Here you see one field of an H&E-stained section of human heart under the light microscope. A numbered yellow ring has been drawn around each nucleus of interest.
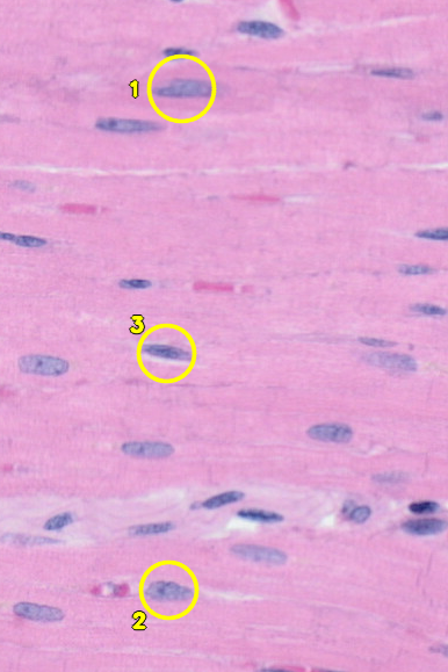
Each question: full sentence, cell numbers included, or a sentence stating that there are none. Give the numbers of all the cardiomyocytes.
In short, the numbered cells 1 and 2 are cardiomyocytes.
